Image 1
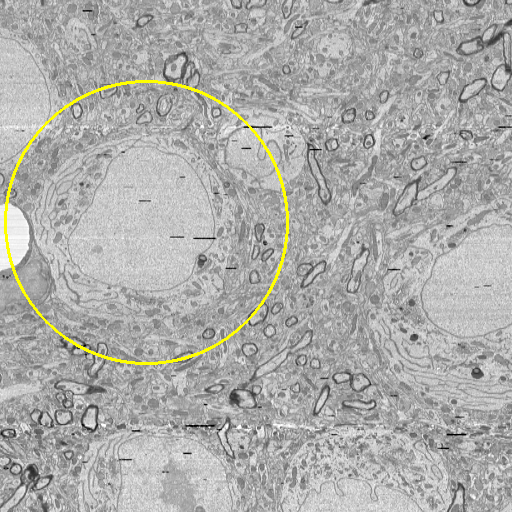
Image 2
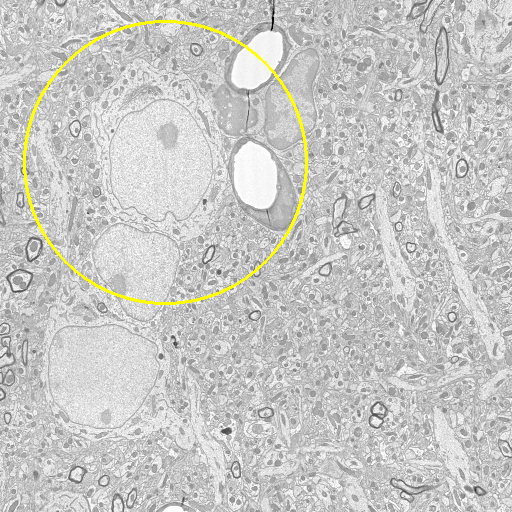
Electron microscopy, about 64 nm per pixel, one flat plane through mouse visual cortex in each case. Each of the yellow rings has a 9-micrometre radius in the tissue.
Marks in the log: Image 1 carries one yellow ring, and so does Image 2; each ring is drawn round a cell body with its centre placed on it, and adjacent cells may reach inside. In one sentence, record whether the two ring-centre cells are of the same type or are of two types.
The two cells at the ring centres, one in each image, are of the same type.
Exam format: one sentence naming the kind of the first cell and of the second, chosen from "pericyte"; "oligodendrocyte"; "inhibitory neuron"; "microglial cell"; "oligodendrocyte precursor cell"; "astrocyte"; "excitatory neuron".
In both pictures the ring is centred on an excitatory neuron.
